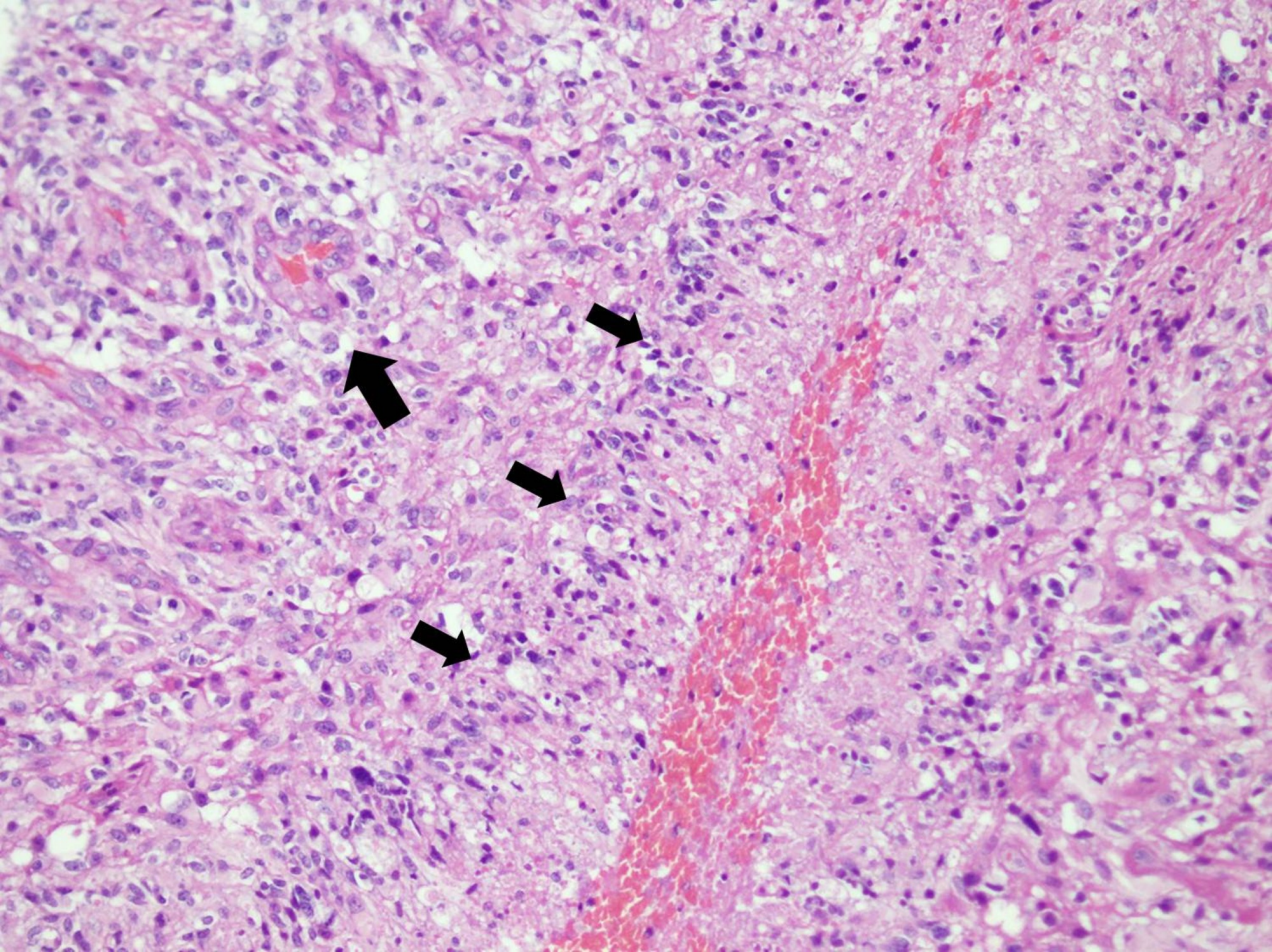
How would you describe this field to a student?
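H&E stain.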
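This is a cellular glial neoplasm composed of sheets of pleomorphic neoplastic cells set in a pink fibrillary background. The nuclei vary in size, shape and darkness, from oval to elongated to enlarged and deeply stained, and many cells have pale or vacuolated cytoplasm. In the upper left, small vessels have walls crowded with plump cells, forming tufted, glomeruloid vascular proliferations with small red blood cell-filled lumina. Through the centre, dark nuclei crowd along the edge of a paler, less cellular pink zone, the pattern of palisading necrosis. A broad band of packed red blood cells runs diagonally across the right half of the field.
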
